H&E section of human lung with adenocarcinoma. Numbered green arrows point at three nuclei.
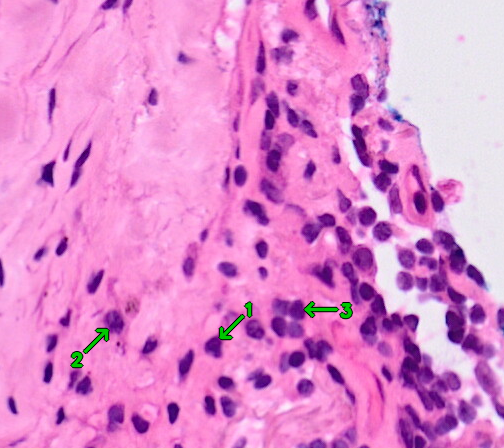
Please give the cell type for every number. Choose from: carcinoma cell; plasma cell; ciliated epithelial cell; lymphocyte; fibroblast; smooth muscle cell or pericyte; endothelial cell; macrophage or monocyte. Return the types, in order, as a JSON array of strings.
["plasma cell", "plasma cell", "lymphocyte"]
